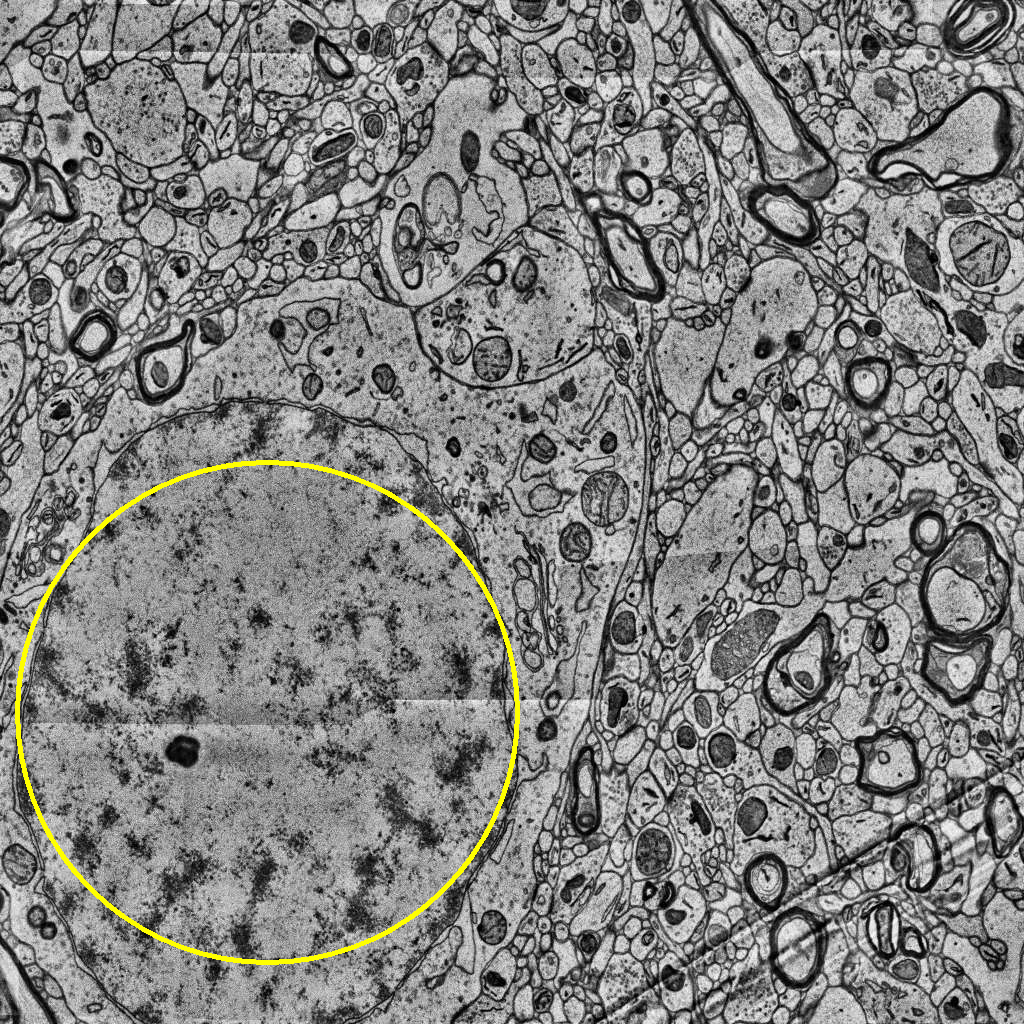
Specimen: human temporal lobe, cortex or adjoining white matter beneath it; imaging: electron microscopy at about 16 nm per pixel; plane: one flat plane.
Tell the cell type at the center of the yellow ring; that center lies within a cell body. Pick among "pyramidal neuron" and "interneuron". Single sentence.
The ring's center lies in the body of an interneuron.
